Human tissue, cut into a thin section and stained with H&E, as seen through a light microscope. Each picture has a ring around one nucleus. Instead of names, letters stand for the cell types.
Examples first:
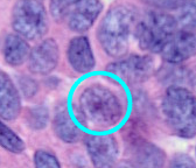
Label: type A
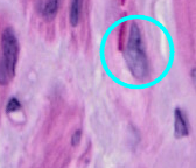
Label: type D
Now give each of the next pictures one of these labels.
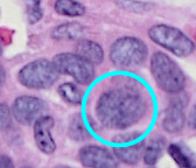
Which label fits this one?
type A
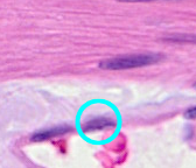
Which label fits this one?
type D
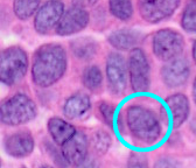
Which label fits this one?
type A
